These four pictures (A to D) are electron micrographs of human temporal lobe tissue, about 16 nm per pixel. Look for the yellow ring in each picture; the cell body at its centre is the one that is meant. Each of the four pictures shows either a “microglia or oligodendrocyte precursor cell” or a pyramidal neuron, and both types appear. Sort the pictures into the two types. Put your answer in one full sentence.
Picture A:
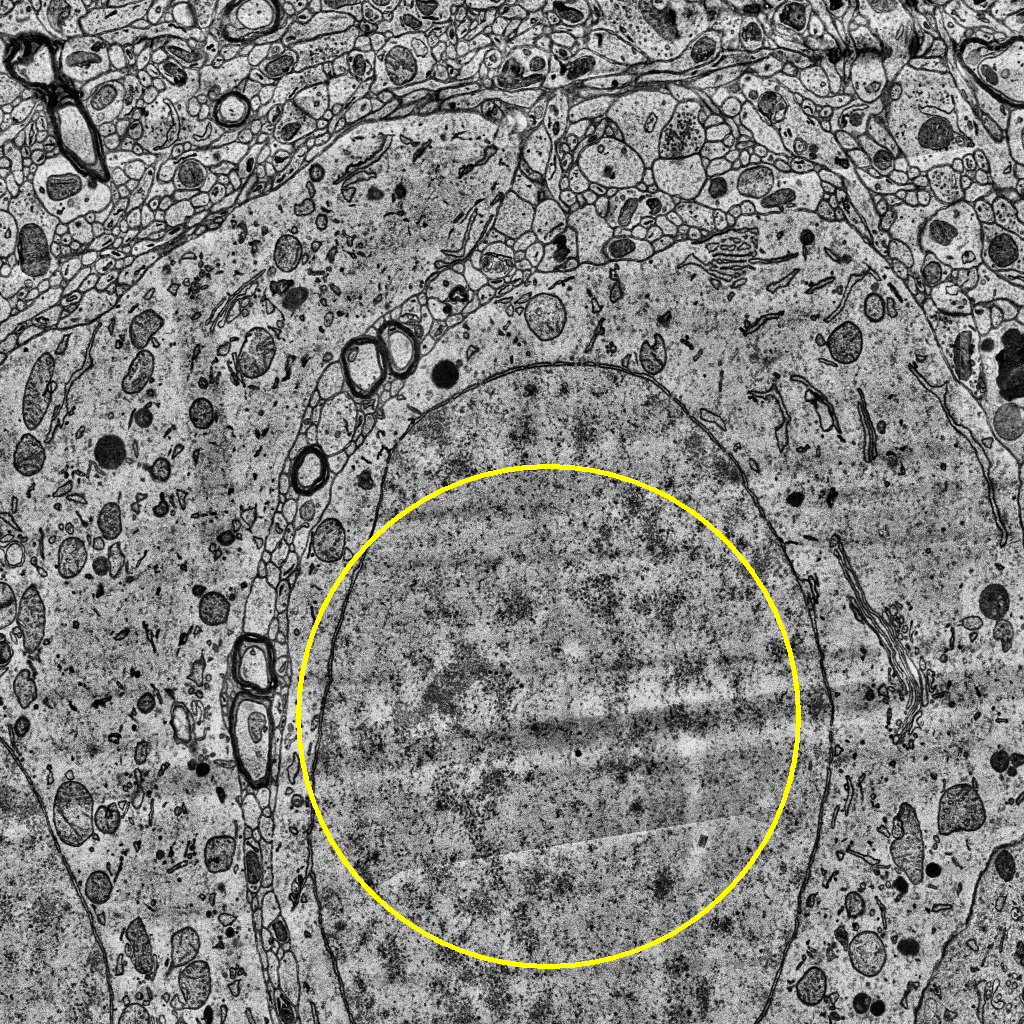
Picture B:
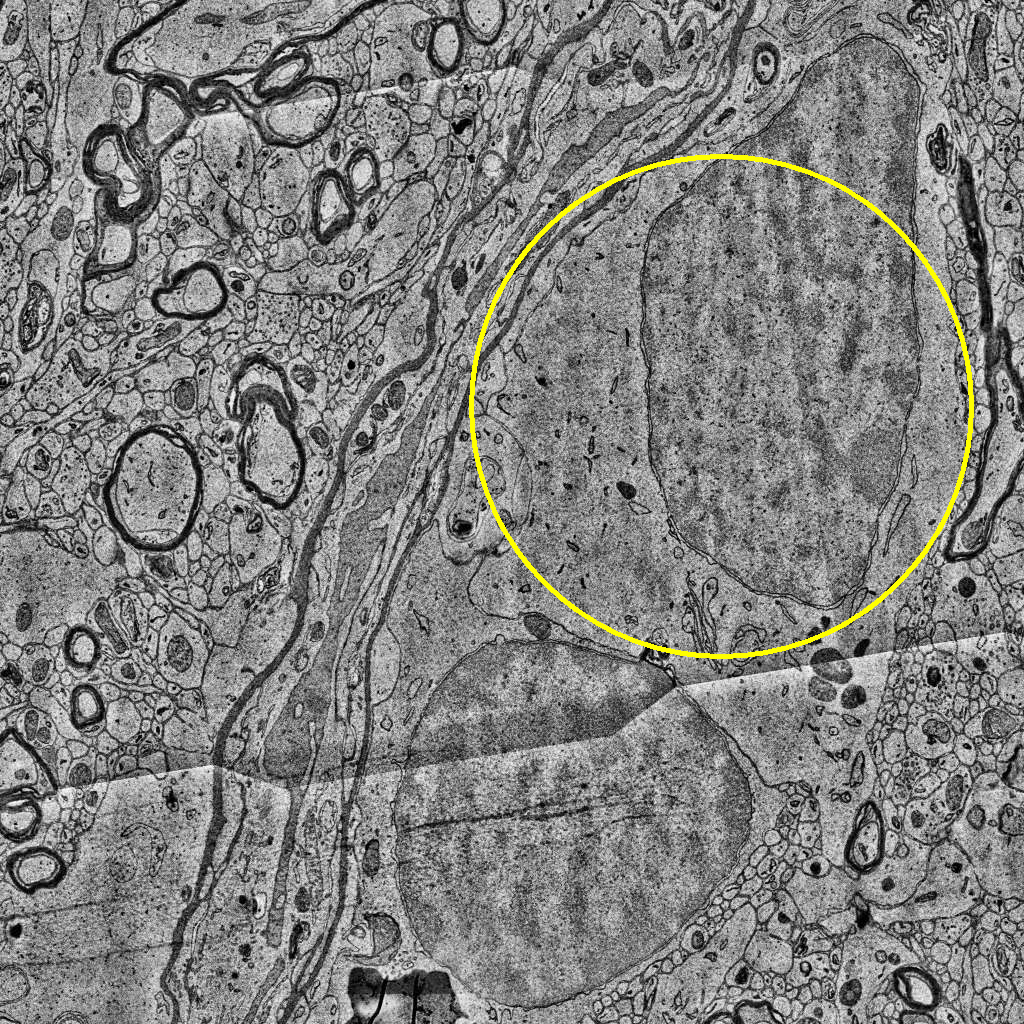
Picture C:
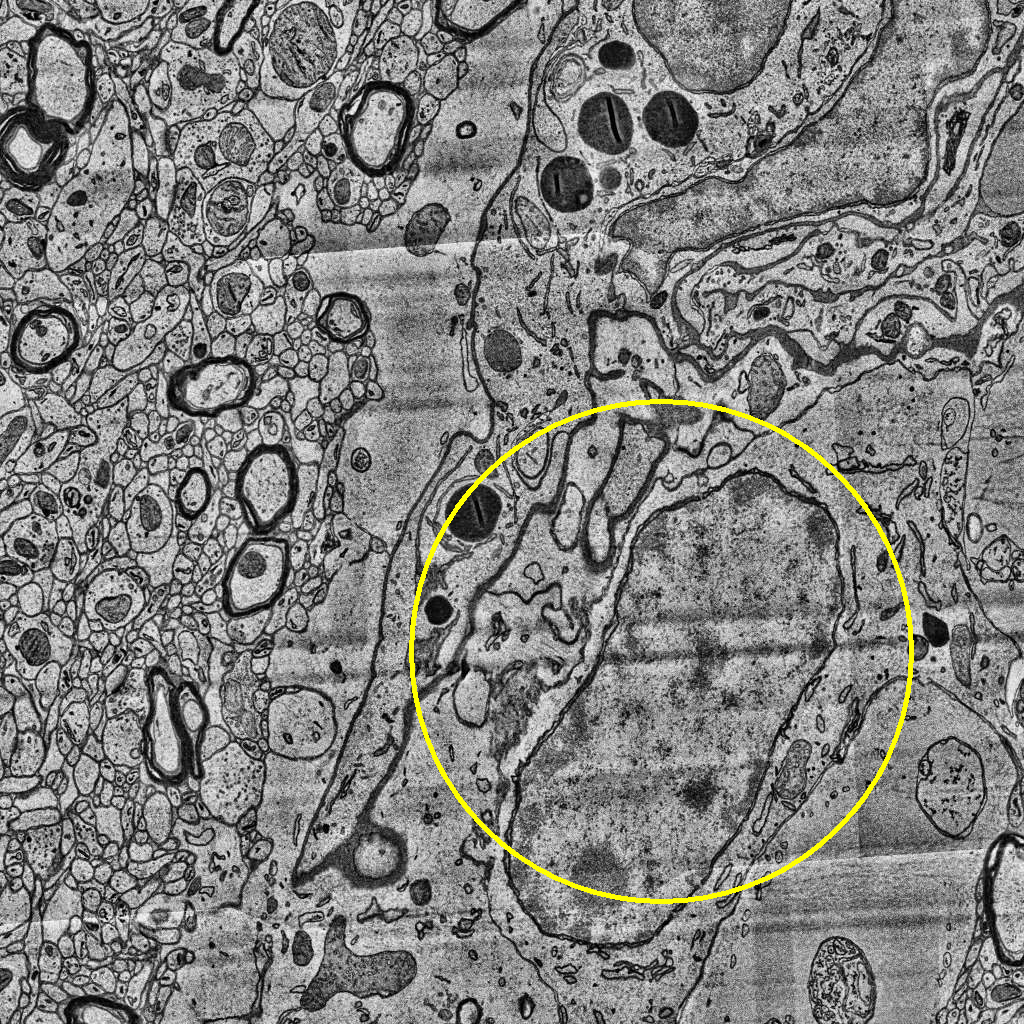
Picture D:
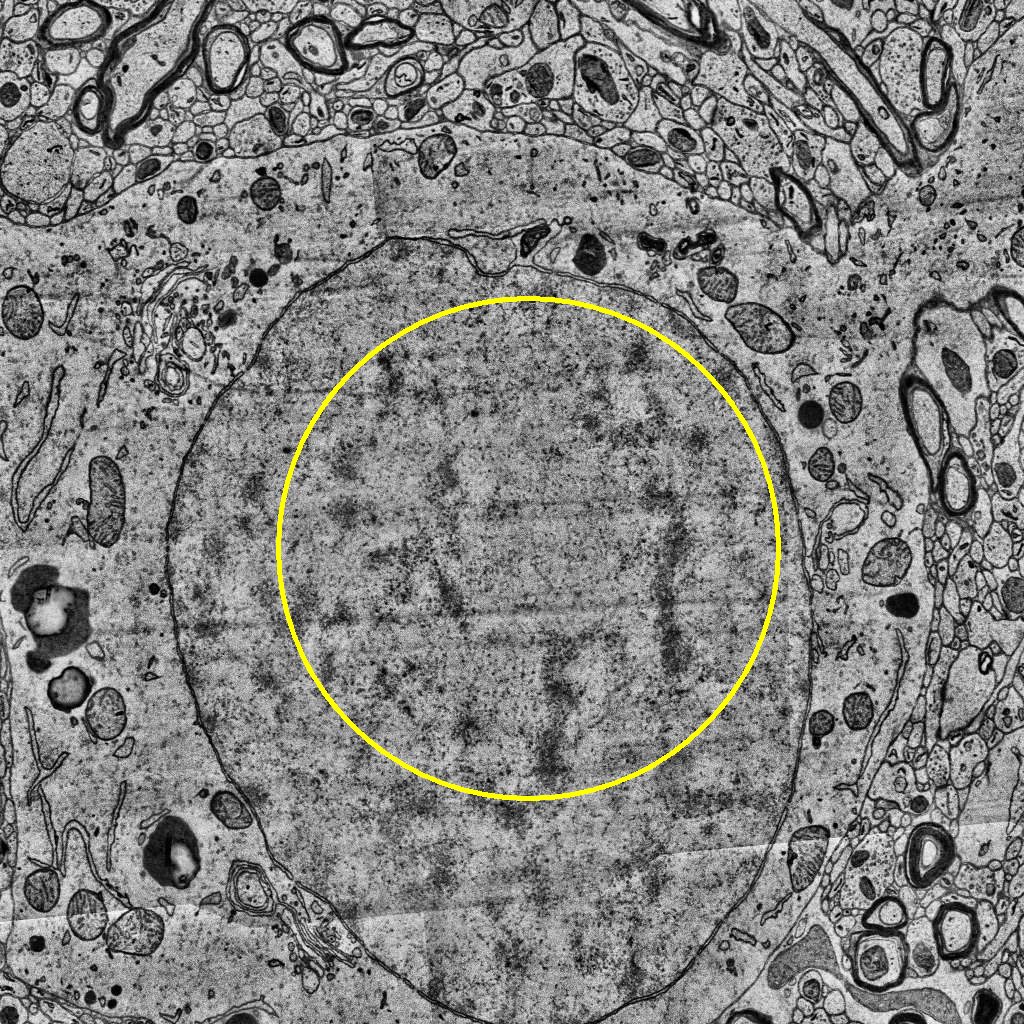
Pictures B and C show “microglia or oligodendrocyte precursor cells”; pictures A and D show pyramidal neurons.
